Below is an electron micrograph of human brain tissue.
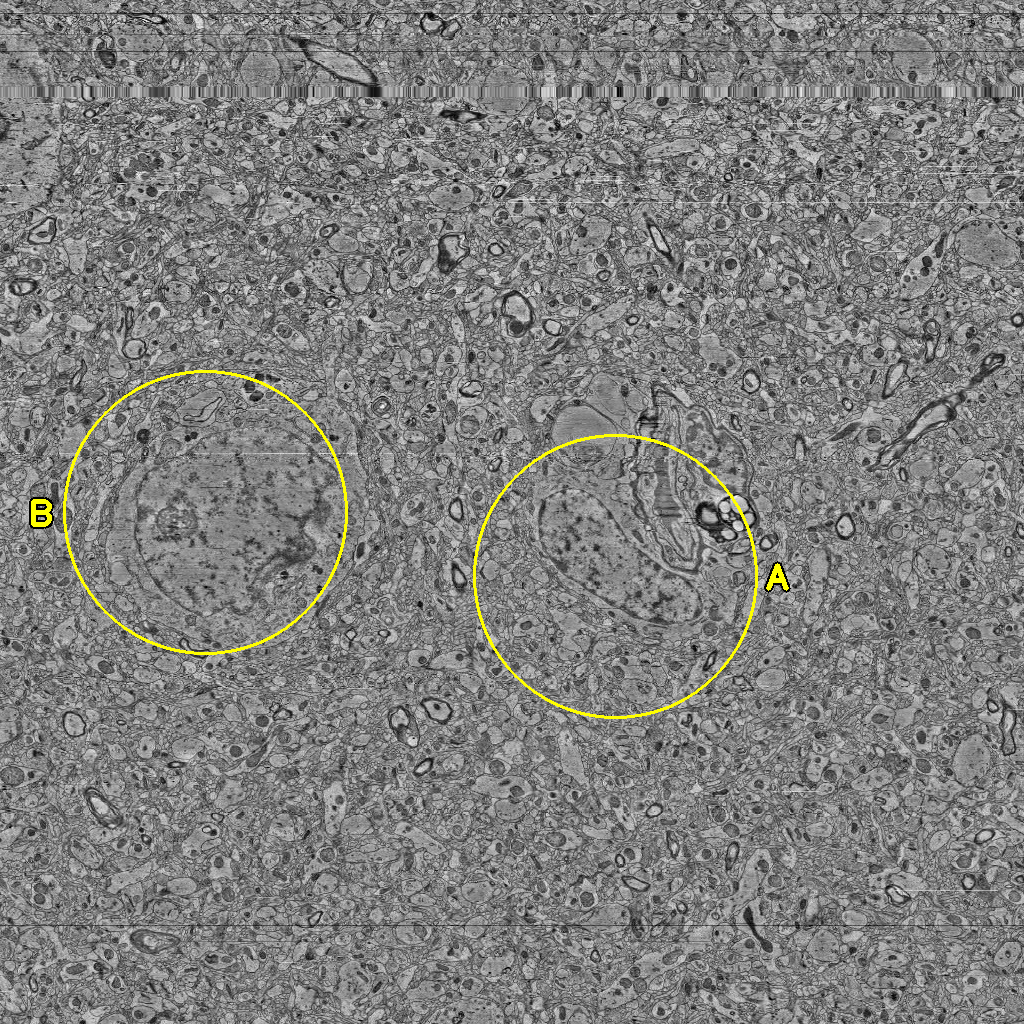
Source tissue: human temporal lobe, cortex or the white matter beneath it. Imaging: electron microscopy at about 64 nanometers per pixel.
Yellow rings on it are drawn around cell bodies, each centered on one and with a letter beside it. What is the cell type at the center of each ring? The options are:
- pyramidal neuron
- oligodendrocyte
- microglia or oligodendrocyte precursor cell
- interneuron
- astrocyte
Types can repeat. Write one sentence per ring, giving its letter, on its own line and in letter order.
At the center of ring A is a microglial cell or oligodendrocyte precursor cell.
At the center of ring B is an interneuron.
